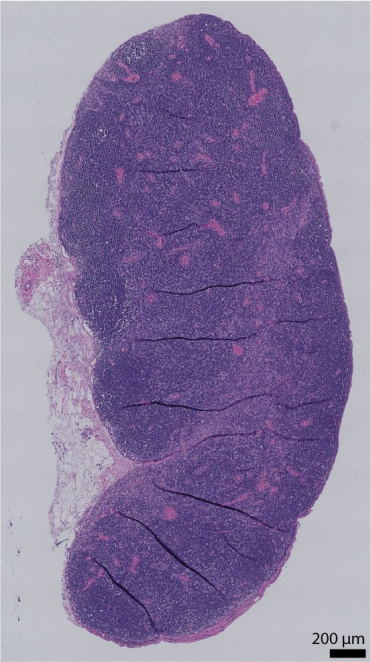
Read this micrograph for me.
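This is a lymph node cut in cross-section, filled almost entirely by densely packed lymphocytes whose nuclei give the tissue a uniform deep purple colour. A thin pink capsule outlines the bean-shaped organ, and loose pale fatty connective tissue is attached along one side. Small pink vessel profiles are scattered throughout the cellular tissue. The lobulated outline is intact and the tissue shows no pale pink areas of cell loss. Several thin dark linear cracks cross the section, which are artefacts of sectioning rather than features of the tissue.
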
